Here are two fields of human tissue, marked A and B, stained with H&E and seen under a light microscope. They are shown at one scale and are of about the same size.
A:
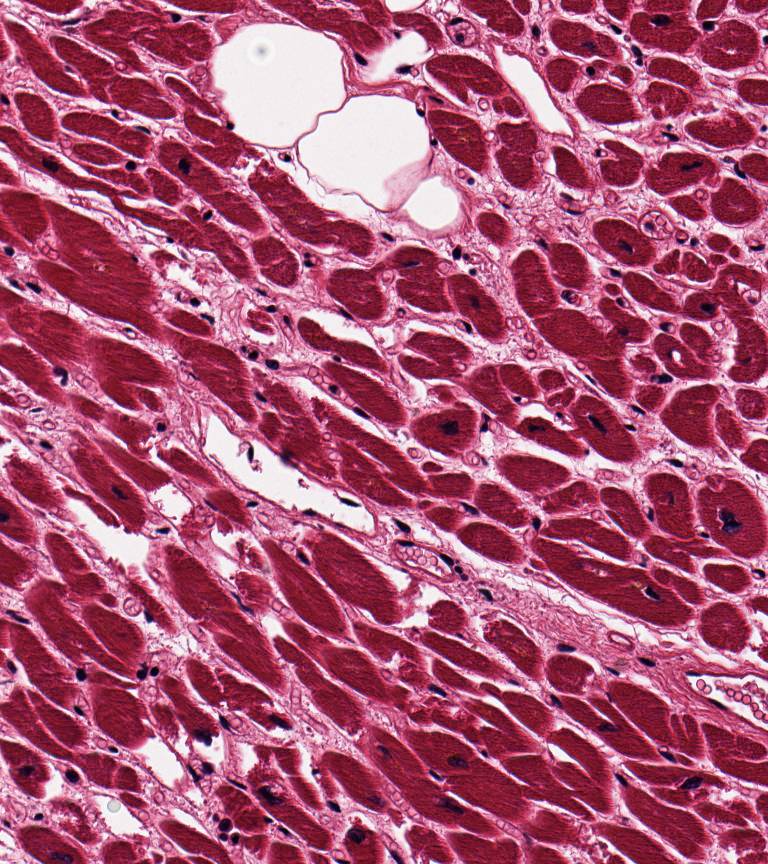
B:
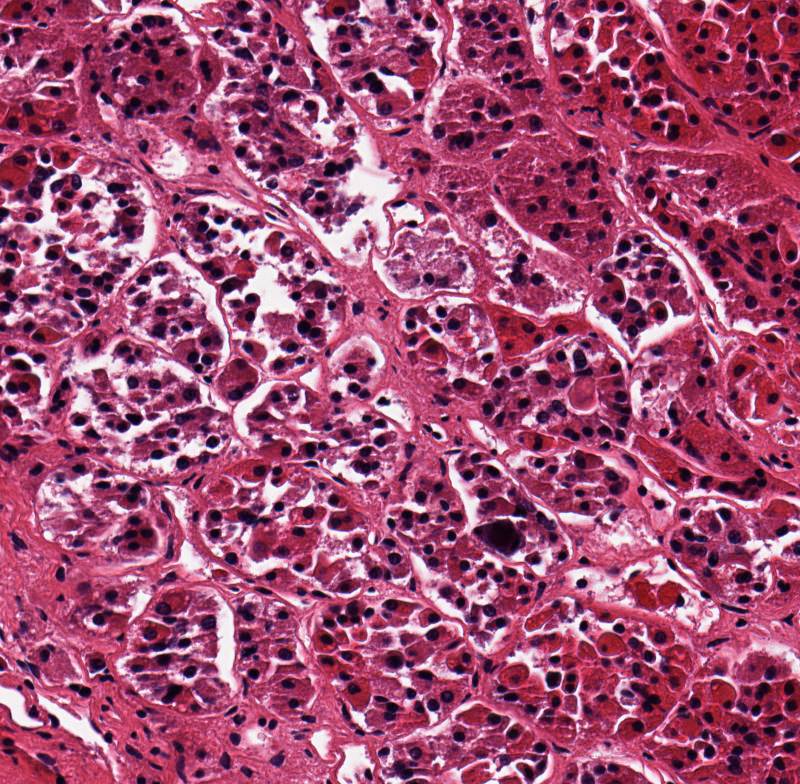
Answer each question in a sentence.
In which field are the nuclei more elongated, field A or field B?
It is field A whose nuclei are the more elongated.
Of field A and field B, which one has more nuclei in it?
It is field B that has more nuclei in it.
